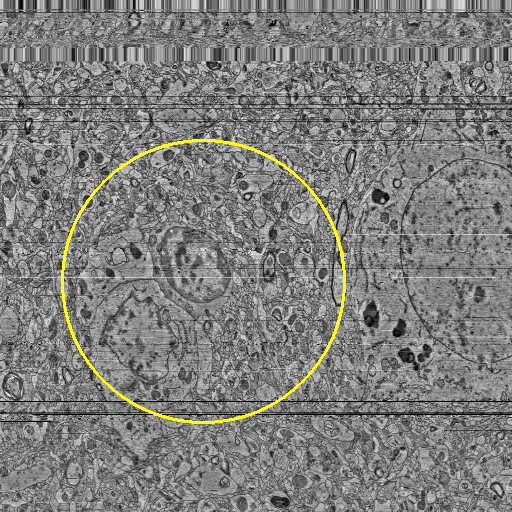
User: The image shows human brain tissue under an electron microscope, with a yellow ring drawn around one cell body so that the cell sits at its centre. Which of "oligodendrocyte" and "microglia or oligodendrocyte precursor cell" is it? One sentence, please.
At the centre of the ring sits an oligodendrocyte.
